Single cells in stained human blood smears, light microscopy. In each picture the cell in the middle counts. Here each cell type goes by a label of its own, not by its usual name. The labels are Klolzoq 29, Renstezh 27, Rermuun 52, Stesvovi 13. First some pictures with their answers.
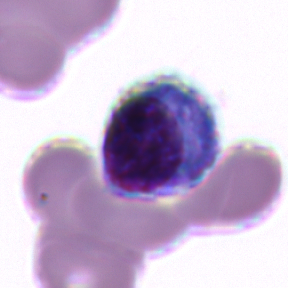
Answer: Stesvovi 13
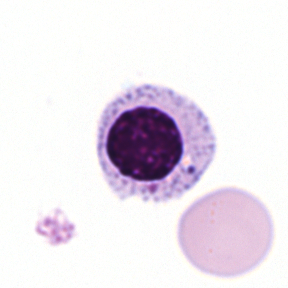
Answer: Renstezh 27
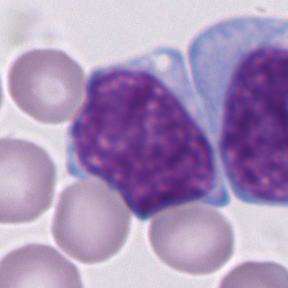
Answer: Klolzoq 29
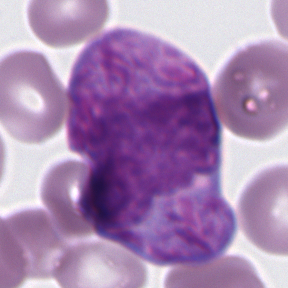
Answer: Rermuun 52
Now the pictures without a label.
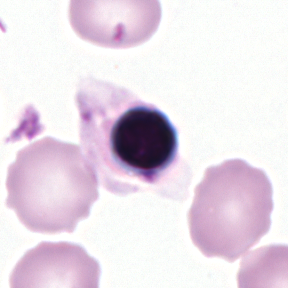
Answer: Renstezh 27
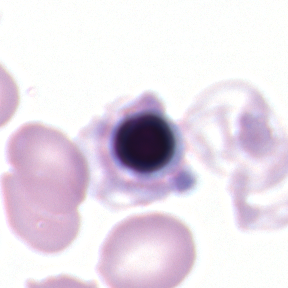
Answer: Renstezh 27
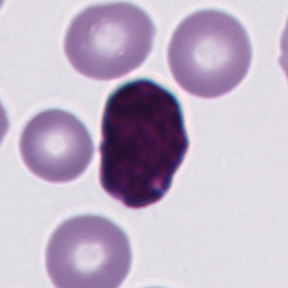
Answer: Klolzoq 29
